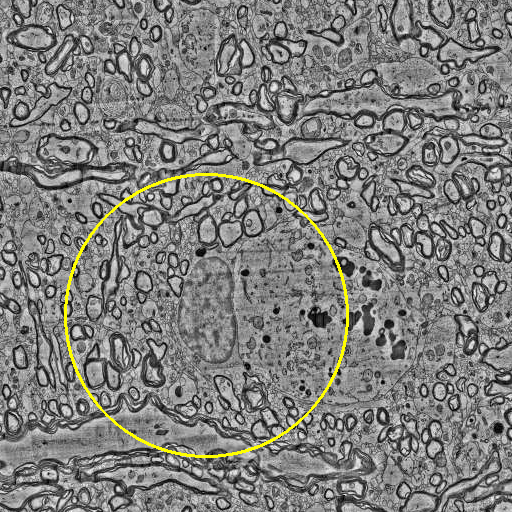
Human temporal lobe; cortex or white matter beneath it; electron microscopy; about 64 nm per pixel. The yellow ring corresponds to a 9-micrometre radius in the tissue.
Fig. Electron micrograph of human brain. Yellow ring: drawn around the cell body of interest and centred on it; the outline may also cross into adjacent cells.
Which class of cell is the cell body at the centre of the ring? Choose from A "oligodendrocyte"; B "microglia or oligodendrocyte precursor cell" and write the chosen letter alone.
A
